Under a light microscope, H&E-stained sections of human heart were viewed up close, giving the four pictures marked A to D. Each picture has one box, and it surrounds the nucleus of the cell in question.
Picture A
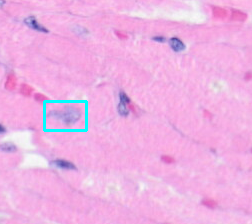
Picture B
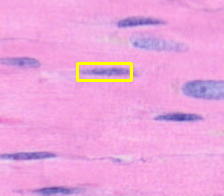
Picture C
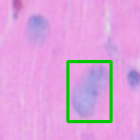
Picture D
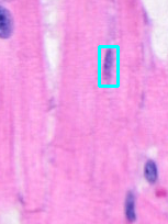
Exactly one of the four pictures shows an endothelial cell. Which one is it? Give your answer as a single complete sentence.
The endothelial cell is the one in picture D.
